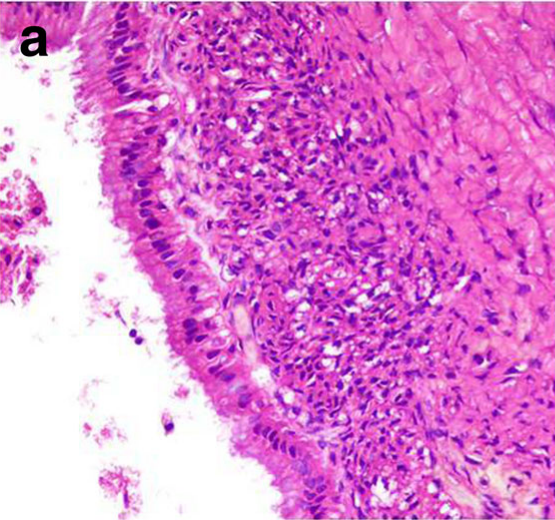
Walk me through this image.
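Cyst wall lined by a single layer of tall columnar epithelium, with densely cellular ovarian-type stroma beneath it. The lining cells have elongated, basally placed nuclei and pale pink apical cytoplasm. The stroma beneath is crowded with plump oval to spindle nuclei in a scant pink matrix. Toward the right, the stroma gives way to paler pink, less cellular tissue.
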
